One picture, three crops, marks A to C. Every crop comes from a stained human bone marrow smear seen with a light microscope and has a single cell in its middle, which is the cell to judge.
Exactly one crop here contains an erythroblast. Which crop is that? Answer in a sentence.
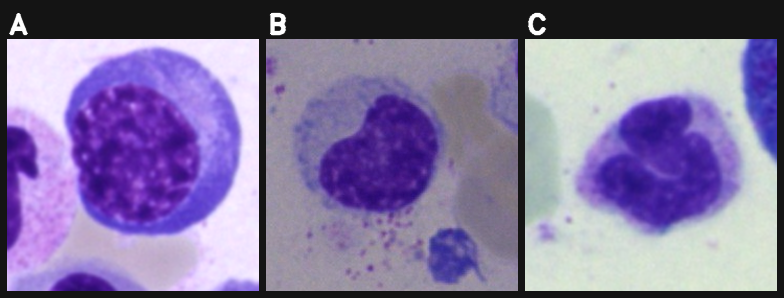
In this series, an erythroblast is shown by crop A.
